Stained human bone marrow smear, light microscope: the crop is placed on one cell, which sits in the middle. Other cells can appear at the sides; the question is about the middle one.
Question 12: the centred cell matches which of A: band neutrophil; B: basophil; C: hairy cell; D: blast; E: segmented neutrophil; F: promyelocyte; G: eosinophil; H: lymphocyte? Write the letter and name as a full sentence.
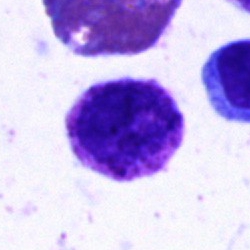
The cell centered in the crop is a basophil, making option B the correct pick.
